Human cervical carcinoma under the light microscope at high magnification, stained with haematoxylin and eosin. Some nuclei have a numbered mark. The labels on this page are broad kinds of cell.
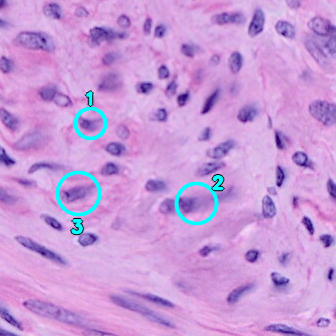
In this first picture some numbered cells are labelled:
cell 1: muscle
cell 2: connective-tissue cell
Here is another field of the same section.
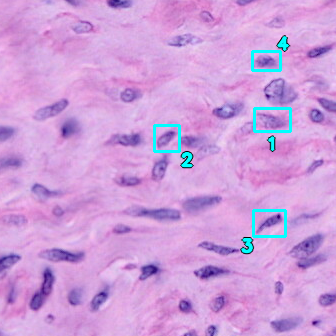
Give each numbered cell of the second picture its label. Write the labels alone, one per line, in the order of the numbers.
muscle
muscle
connective-tissue cell
muscle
